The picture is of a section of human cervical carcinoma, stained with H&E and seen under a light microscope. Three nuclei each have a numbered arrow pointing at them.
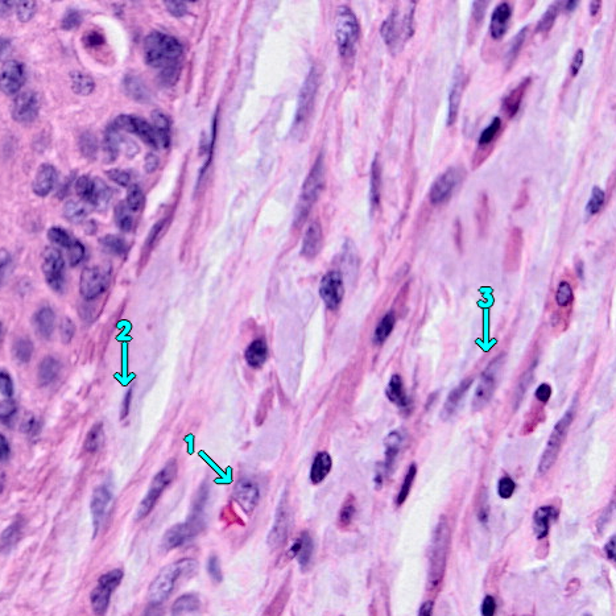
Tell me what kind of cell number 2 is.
fibroblast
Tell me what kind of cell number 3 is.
fibroblast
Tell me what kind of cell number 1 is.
endothelial cell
